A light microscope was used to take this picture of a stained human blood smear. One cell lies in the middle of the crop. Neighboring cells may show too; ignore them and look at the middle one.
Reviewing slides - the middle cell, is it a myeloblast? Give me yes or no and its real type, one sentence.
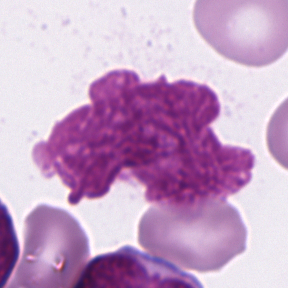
No, the cell sitting in the centre of the crop is a smudge cell, not a myeloblast.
